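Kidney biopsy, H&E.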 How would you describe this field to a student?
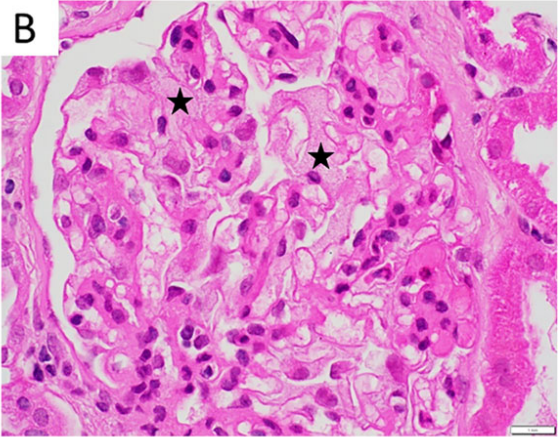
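This is a glomerulus in which some podocytes on the outer surface of the capillary tuft have pale, bubbly cytoplasm. Their cytoplasm looks foamy and finely vacuolated, in contrast to the pinker cytoplasm of neighbouring cells, and their purple nuclei are small and round. The capillary loops and mesangium lie within, surrounded by Bowman's space and the capsule with adjacent tubules at the right.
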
